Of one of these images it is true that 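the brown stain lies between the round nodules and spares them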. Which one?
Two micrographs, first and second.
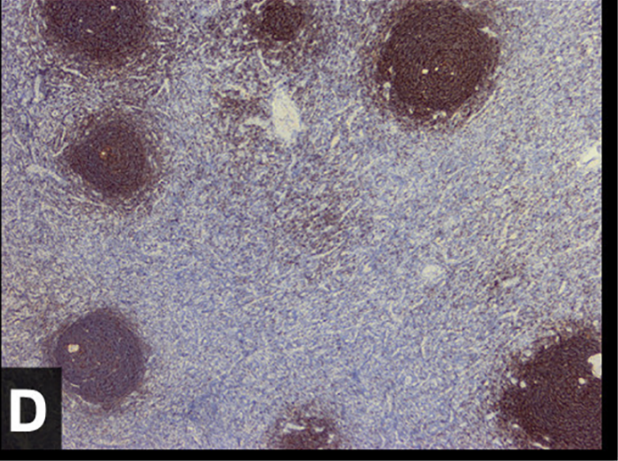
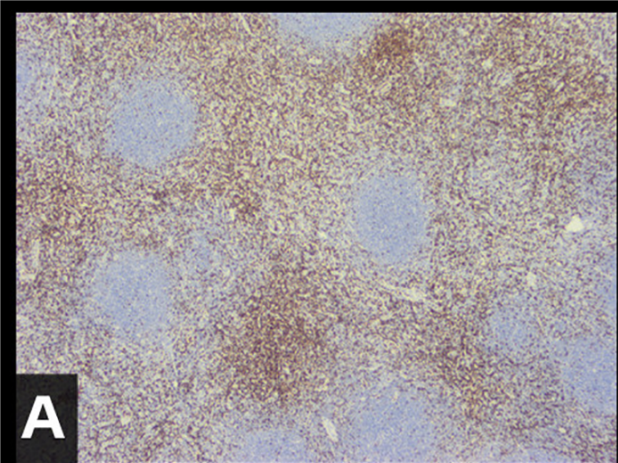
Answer: The second image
